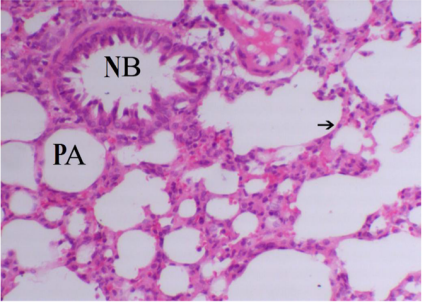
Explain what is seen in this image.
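This lung section shows a round airway lined by a tall epithelium whose crowded nuclei lie at several levels, giving a pseudostratified columnar appearance, with a folded luminal border. Beside it lies a round empty vessel-like space, and around them many open air spaces are separated by thin pink walls lined with flat cells.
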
